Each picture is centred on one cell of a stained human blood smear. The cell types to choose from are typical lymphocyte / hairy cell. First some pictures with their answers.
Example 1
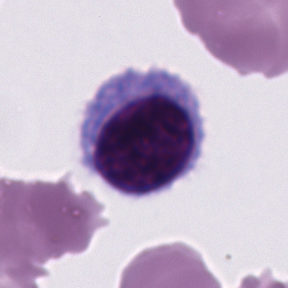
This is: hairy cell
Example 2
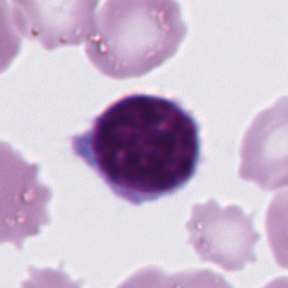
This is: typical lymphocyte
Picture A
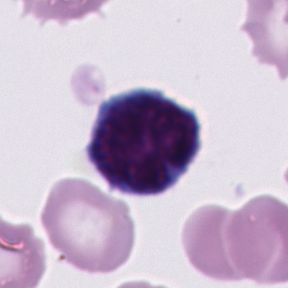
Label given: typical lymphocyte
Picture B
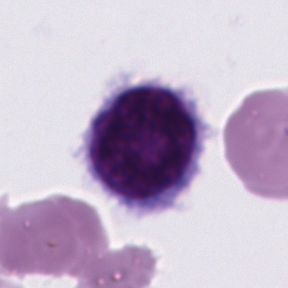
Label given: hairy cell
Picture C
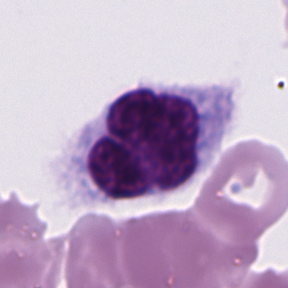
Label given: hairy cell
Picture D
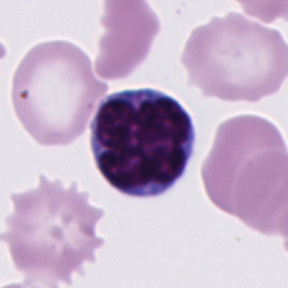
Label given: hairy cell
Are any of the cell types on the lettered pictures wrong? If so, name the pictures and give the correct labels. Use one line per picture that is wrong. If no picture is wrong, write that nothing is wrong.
D is labelled hairy cell; correct label: typical lymphocyte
